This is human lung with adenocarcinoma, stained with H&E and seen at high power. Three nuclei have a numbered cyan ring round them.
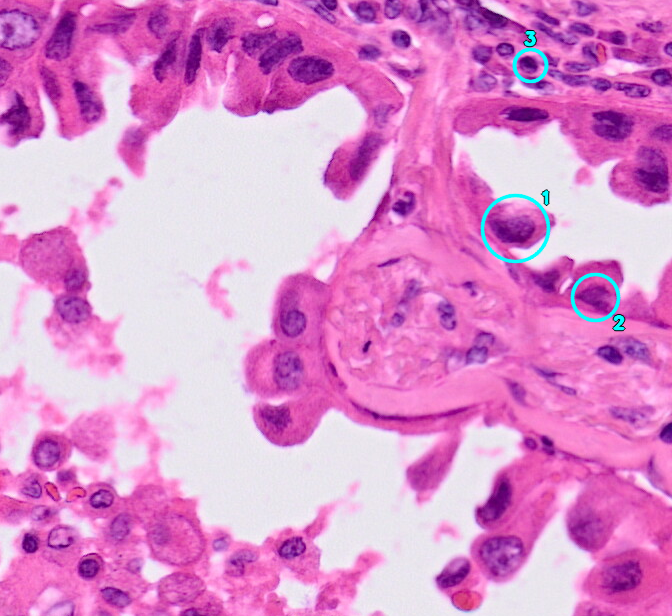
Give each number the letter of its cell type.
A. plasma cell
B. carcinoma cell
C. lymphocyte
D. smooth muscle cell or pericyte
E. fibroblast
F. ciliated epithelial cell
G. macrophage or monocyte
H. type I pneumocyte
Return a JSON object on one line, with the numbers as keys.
{"1": "B", "2": "B", "3": "C"}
